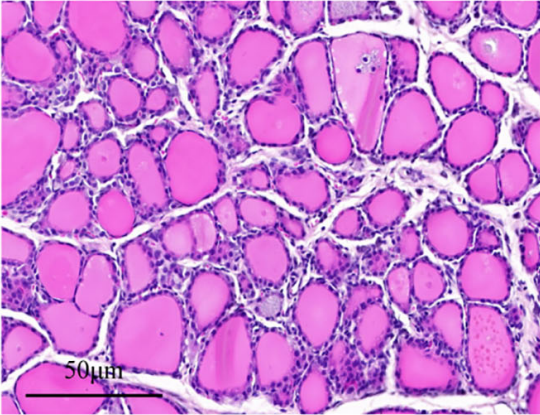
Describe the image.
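Thyroid gland tissue made up of closely packed follicles, each a rounded or polygonal sac lined by a single layer of follicular epithelial cells. The follicles are mostly large and filled with homogeneous, bright pink colloid, which in a few follicles shows cracks or small clear vacuoles. The lining cells are flat to low cuboidal, with small, dark purple nuclei set around the rim of the colloid. Between follicles run thin, pale strands of connective tissue. Small clusters of cells lie in the spaces between neighbouring follicles.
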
